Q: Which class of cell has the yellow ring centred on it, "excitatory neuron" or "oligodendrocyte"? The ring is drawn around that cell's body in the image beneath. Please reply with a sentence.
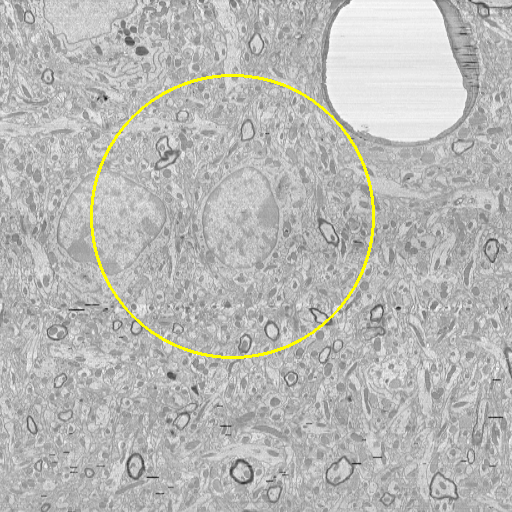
It is centred on an oligodendrocyte.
